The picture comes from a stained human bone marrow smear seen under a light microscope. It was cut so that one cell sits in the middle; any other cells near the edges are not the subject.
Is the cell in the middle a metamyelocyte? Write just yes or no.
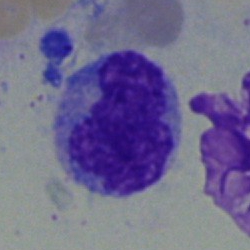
no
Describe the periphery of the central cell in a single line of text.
Around its whole circumference the outline stays smooth, free of projections.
